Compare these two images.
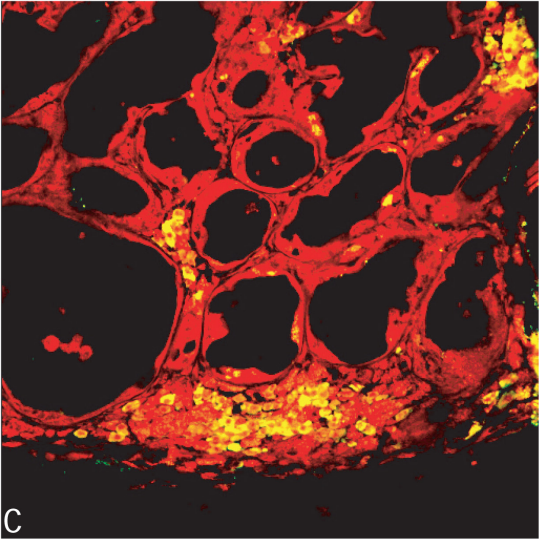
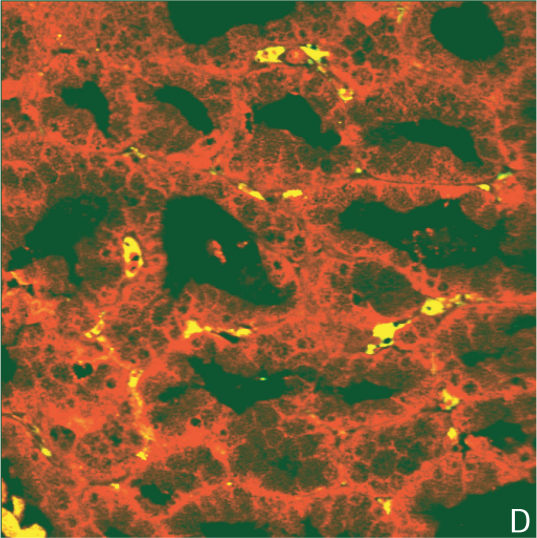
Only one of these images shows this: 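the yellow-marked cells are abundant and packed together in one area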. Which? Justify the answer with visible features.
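The first image. Second image: scattered single yellow cells lie between the red tissue. First image: many yellow cells crowd together in a dense band at the lower edge.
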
